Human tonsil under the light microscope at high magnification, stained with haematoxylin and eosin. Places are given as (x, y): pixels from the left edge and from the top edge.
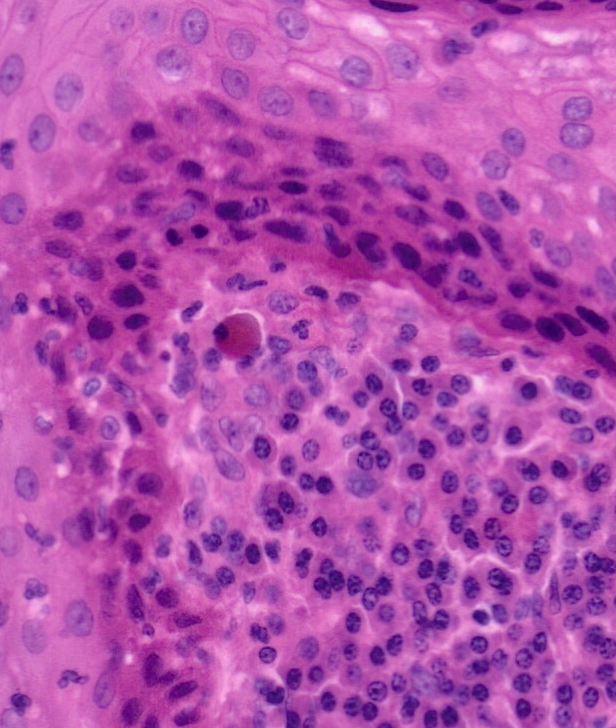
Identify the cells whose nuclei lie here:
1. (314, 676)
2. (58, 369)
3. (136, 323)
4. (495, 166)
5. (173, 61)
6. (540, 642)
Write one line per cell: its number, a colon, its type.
1: plasma cell
2: squamous epithelial cell
3: squamous epithelial cell
4: squamous epithelial cell
5: squamous epithelial cell
6: plasma cell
